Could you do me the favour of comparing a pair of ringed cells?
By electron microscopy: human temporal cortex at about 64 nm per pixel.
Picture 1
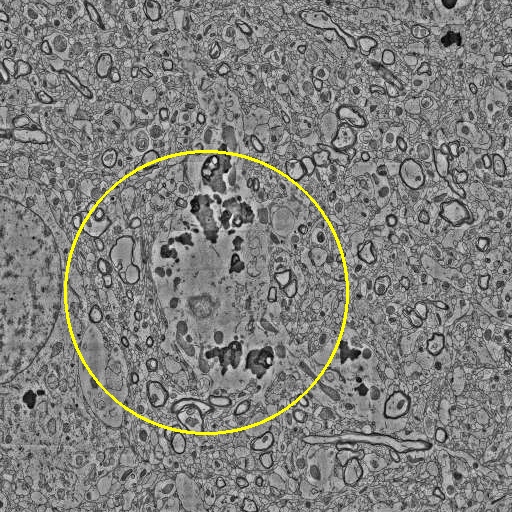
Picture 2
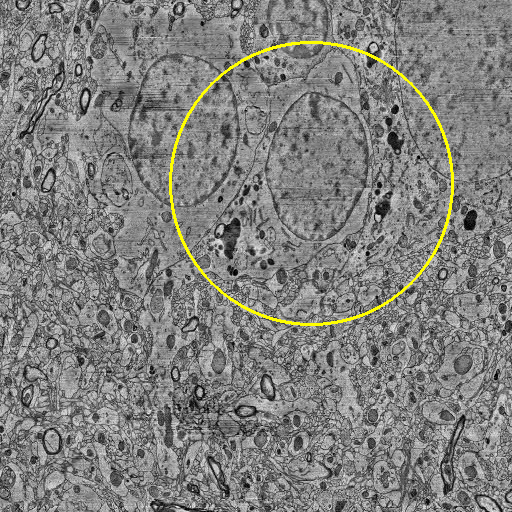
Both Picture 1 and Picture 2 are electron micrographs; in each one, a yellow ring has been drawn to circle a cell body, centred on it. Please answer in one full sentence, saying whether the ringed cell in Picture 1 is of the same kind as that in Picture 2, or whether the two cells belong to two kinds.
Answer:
The ringed cell in Picture 1 is of the same kind as that in Picture 2.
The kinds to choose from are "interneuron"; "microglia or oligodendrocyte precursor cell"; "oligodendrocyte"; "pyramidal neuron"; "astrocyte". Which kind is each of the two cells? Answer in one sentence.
Each cell, in the first picture and the second, is an astrocyte.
